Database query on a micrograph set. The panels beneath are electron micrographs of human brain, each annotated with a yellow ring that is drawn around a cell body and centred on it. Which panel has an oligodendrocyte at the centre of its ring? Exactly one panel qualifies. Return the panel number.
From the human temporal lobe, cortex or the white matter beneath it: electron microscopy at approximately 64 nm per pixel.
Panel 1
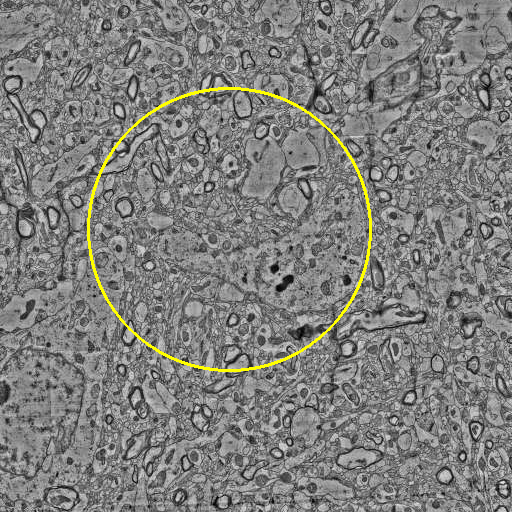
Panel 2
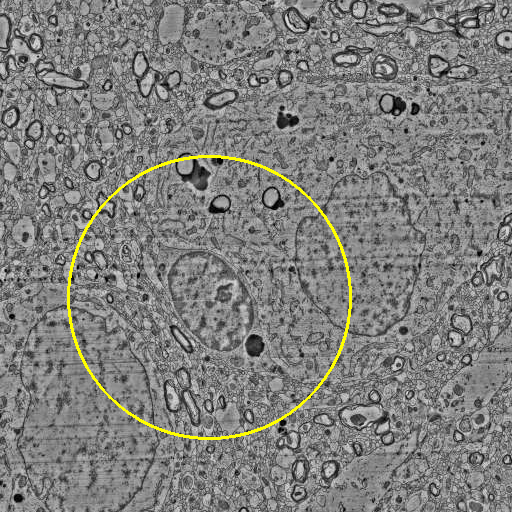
2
